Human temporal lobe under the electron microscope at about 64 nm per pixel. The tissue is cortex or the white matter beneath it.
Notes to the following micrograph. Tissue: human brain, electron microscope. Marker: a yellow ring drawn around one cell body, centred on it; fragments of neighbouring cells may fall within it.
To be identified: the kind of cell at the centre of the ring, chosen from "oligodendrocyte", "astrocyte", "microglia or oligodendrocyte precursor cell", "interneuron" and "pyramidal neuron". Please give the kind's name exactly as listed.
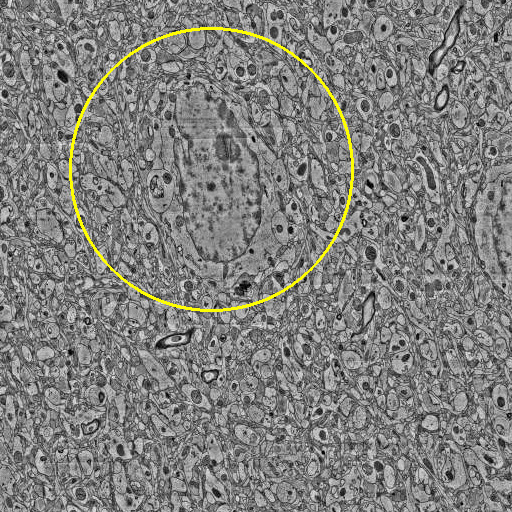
interneuron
